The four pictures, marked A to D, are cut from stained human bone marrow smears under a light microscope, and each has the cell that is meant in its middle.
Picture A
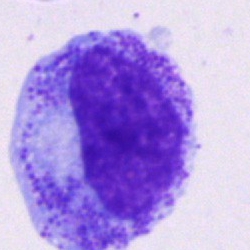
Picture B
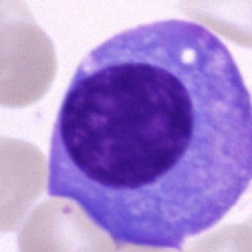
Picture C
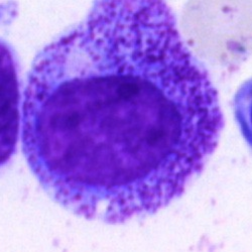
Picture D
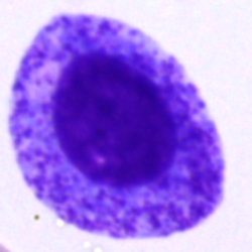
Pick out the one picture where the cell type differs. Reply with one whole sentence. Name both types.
The different one is picture B; it shows a plasma cell, whereas all the others show promyelocytes.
